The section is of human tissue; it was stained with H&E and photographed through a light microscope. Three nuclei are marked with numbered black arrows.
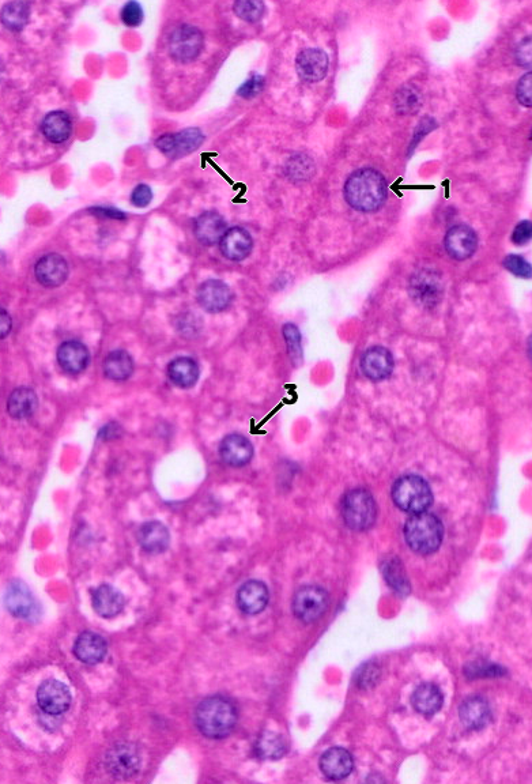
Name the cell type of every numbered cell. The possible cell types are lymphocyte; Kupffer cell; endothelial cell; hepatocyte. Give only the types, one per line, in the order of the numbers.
hepatocyte
Kupffer cell
hepatocyte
